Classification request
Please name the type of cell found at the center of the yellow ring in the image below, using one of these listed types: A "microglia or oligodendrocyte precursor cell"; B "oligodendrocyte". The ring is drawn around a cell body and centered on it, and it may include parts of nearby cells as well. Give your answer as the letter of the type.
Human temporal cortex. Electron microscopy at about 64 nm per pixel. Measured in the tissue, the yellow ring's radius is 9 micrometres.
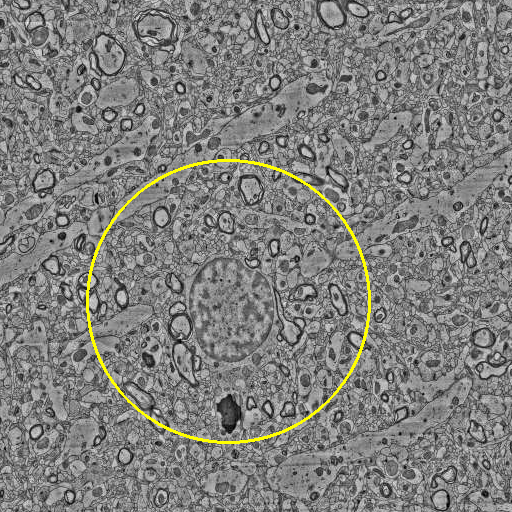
B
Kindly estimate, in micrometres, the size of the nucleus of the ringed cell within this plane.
The nucleus of the ringed cell is approximately 6 micrometres across in this plane.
